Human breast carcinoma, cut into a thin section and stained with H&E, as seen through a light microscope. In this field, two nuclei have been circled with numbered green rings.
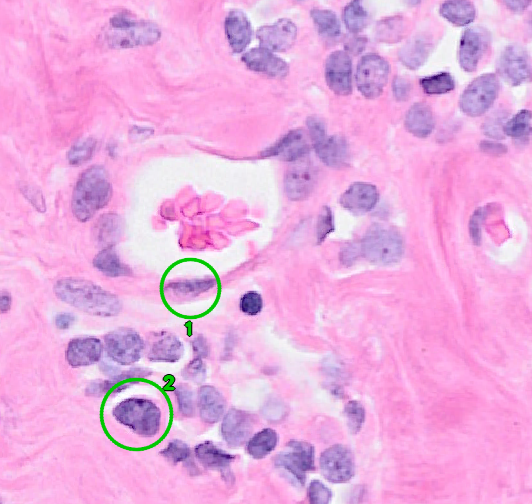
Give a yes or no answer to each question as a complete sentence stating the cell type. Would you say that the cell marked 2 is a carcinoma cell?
Yes, number 2 corresponds to a carcinoma cell.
